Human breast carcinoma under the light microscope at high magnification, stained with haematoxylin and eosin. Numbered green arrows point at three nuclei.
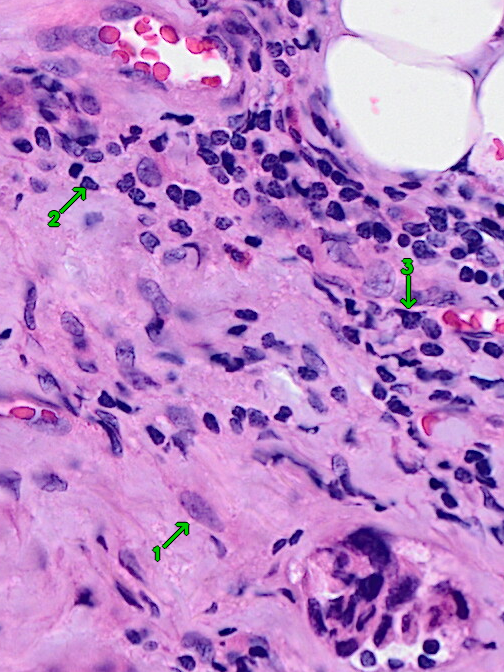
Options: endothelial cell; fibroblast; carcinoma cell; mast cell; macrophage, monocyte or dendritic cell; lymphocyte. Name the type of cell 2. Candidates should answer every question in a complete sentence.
The nucleus marked 2 is the nucleus of a lymphocyte.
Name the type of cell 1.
Numbered cell 1 is a fibroblast in this tissue section.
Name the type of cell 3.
Cell 3 in the field is a lymphocyte.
